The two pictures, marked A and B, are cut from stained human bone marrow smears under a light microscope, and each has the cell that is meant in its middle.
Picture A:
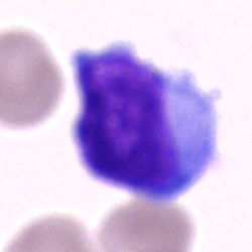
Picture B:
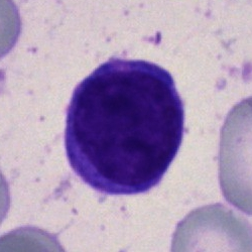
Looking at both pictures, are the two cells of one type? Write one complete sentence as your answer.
Yes, both are blasts.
